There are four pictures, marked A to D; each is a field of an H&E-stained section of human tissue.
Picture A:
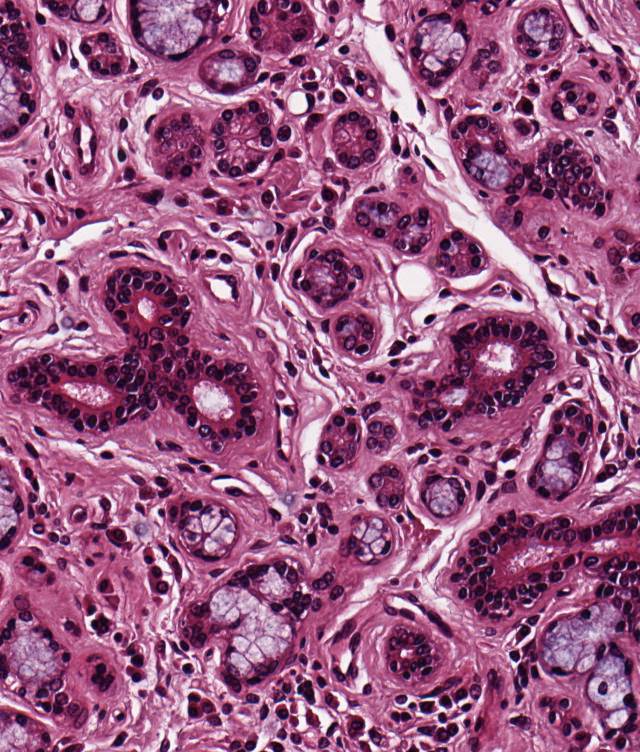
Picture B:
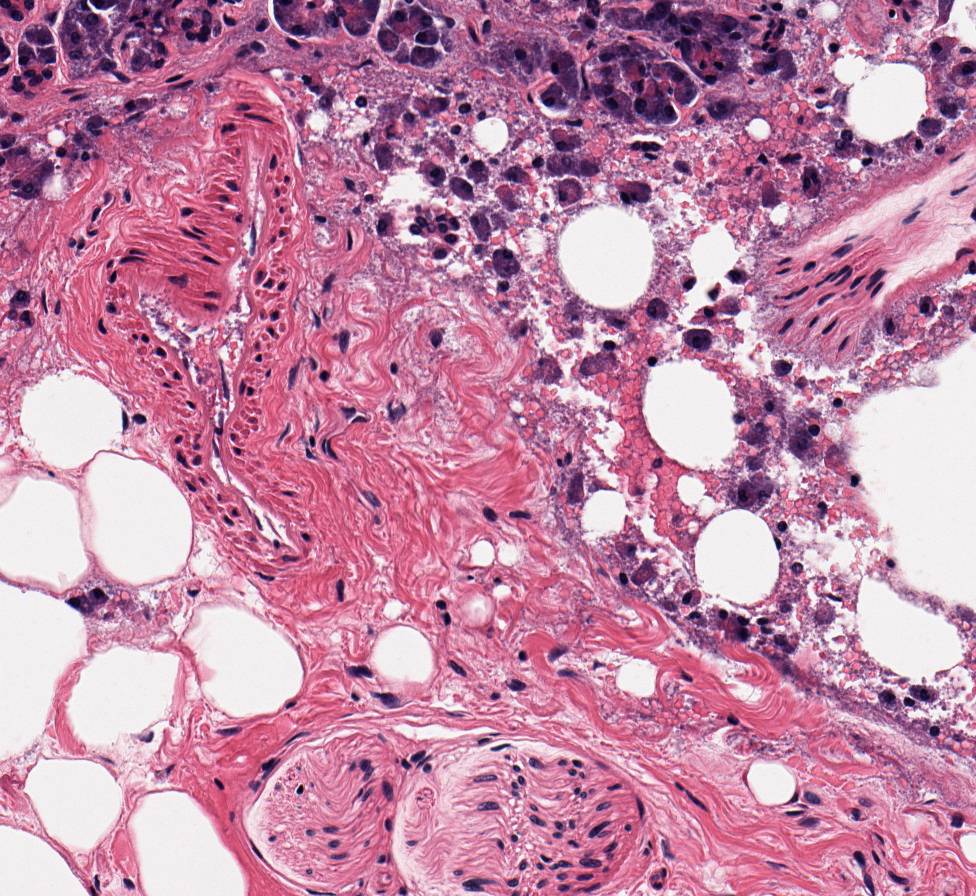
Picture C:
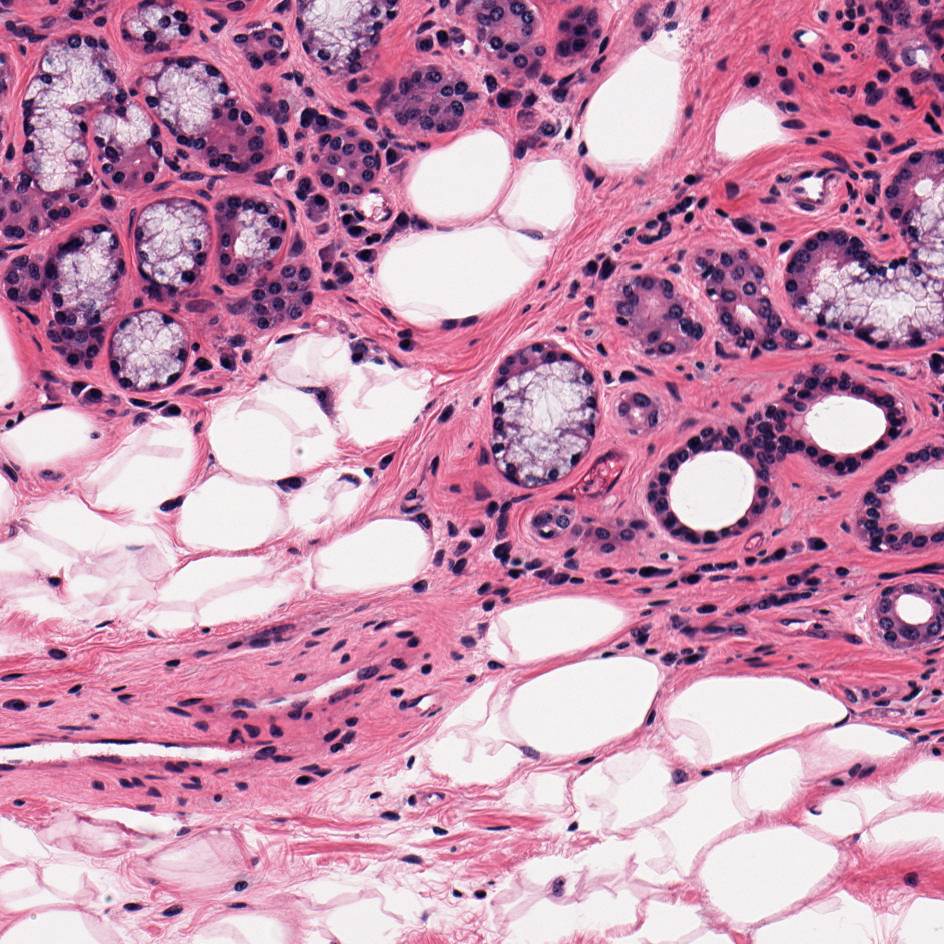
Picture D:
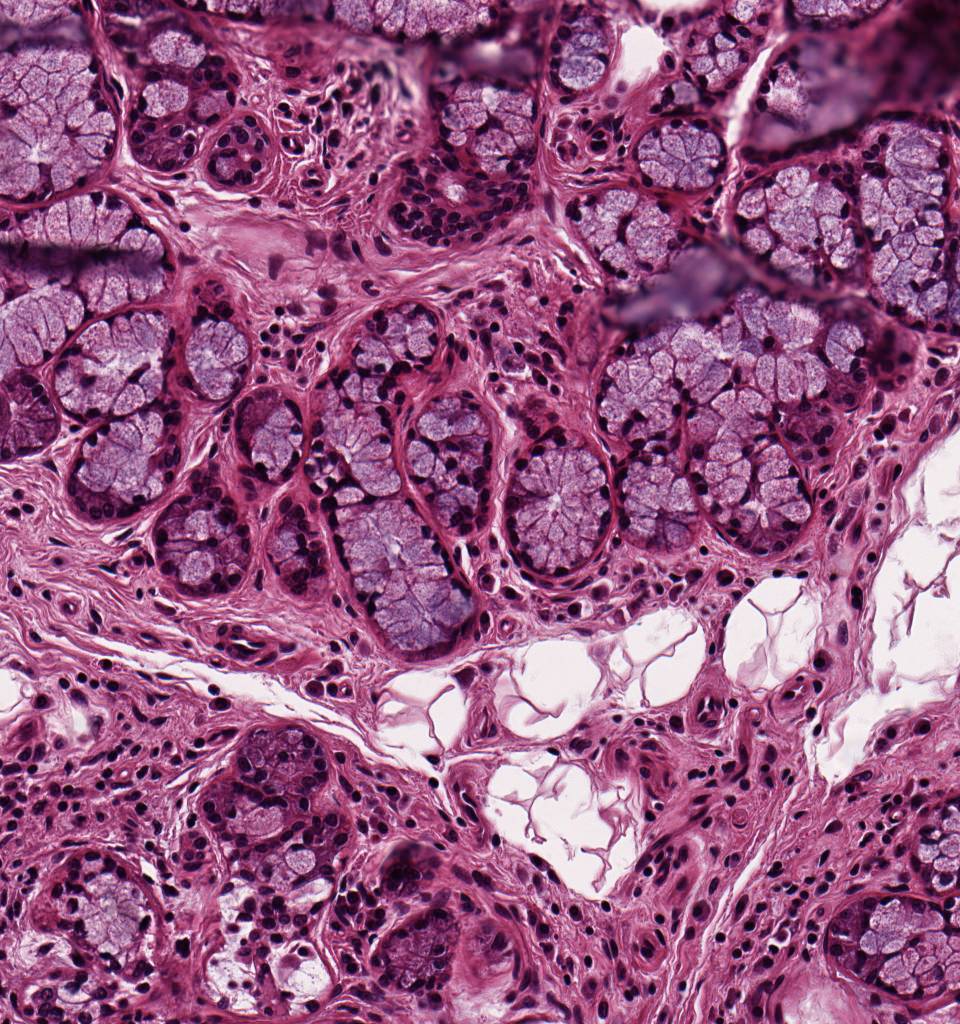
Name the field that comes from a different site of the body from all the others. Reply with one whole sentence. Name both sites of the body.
All pictures except B come from a minor salivary gland; picture B comes from the pancreas.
